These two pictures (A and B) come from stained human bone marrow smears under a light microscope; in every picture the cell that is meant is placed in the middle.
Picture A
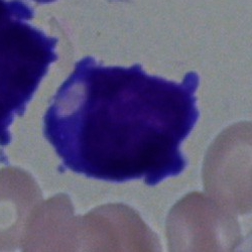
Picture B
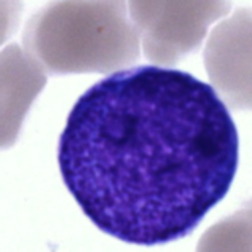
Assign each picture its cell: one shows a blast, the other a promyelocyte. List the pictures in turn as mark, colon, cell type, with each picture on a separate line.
A: blast
B: promyelocyte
